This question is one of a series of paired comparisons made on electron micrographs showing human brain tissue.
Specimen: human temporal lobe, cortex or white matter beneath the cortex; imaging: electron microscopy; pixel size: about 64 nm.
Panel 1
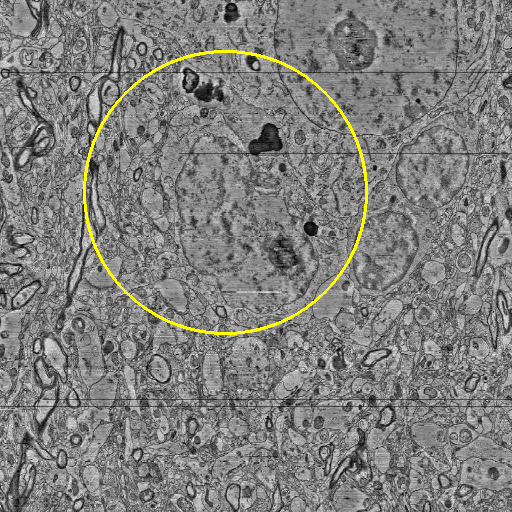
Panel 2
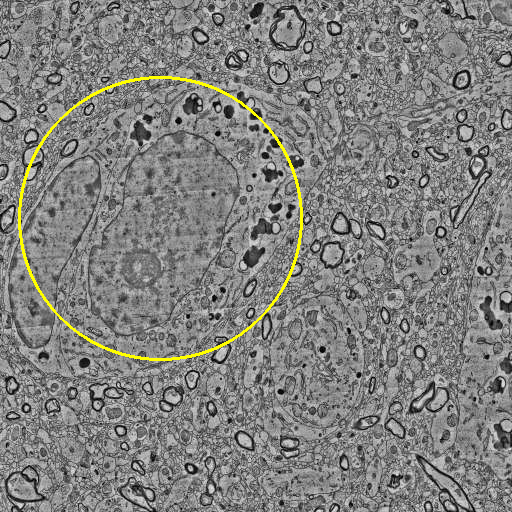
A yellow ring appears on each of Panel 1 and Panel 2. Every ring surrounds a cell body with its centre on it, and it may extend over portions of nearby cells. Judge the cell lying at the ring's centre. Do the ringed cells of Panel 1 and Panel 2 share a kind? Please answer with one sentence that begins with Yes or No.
Yes, the ring-centre cell in Panel 1 and the one in Panel 2 are of one kind.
